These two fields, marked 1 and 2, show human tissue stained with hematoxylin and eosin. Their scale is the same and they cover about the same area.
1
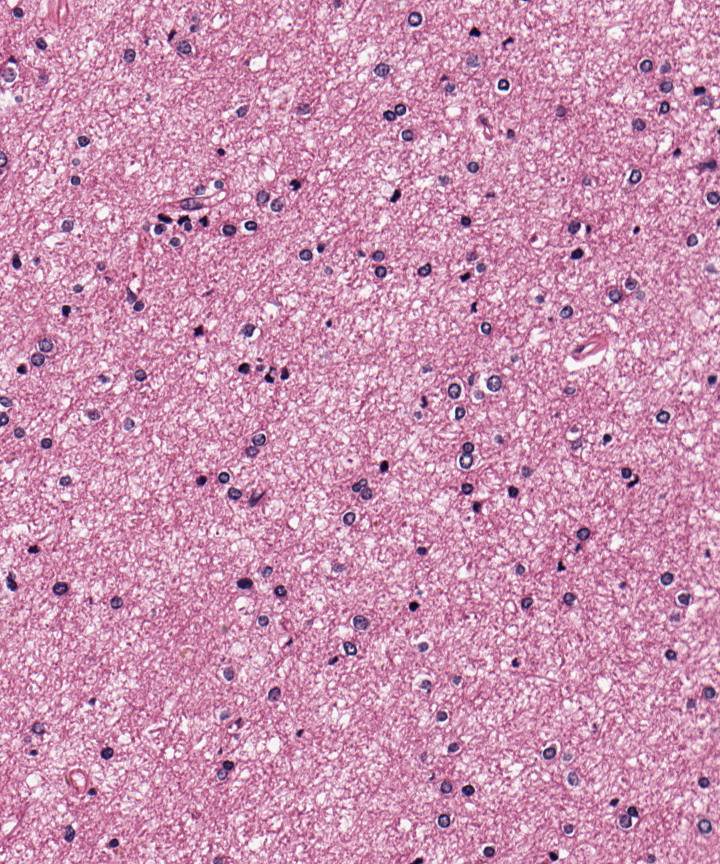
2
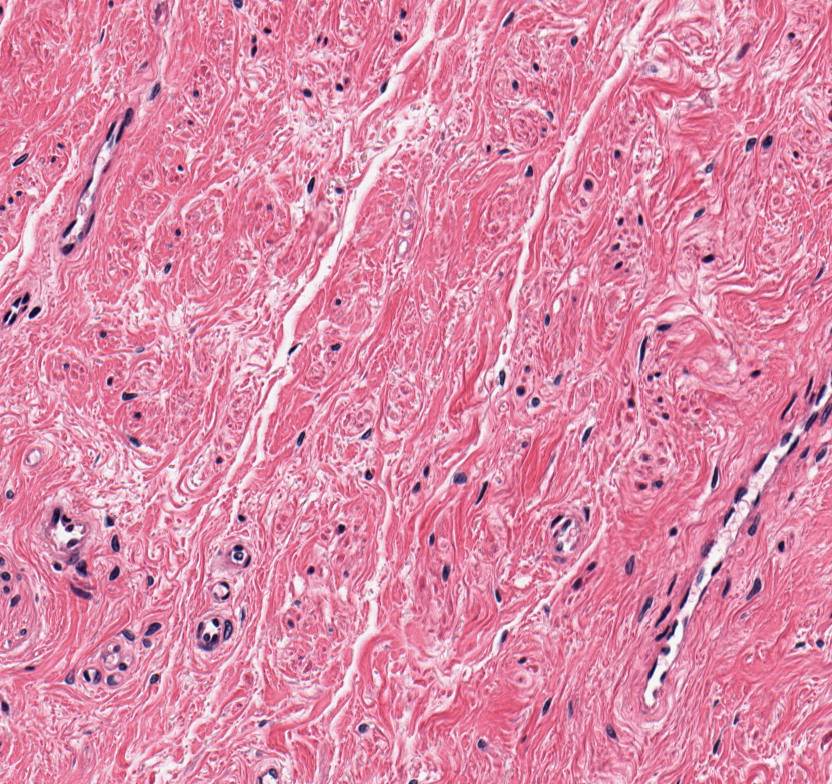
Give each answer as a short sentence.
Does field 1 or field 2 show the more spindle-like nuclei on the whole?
On the whole the nuclei of field 2 are more drawn out than those of field 1.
